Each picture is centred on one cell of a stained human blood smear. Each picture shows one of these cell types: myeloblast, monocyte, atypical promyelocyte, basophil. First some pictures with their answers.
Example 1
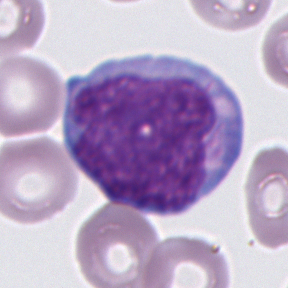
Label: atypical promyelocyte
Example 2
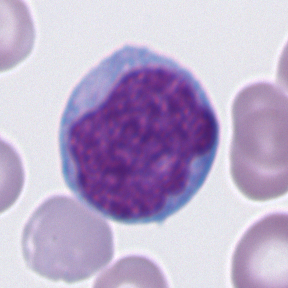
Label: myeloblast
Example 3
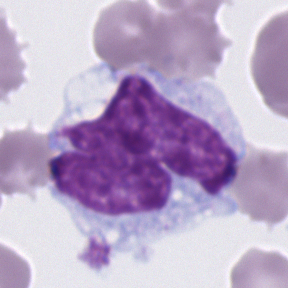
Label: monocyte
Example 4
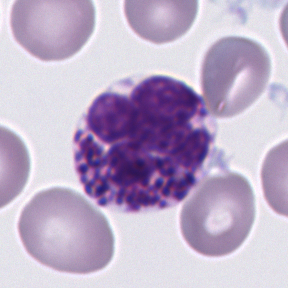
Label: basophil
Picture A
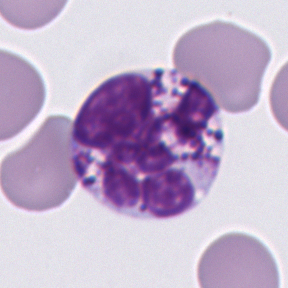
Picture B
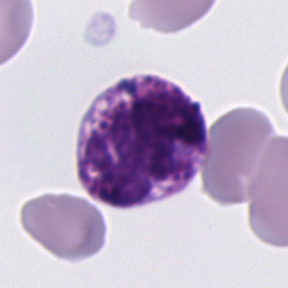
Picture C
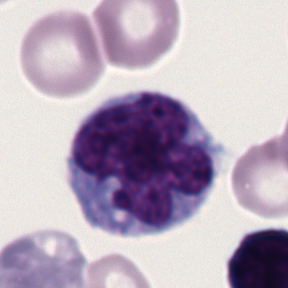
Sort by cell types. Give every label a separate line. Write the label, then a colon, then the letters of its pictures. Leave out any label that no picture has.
monocyte: C
basophil: A, B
